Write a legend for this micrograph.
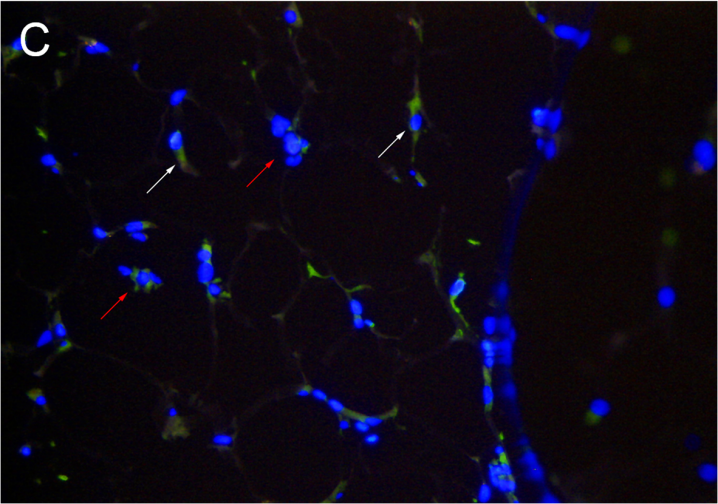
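This is fat tissue, with large, empty adipocytes outlined by thin green rims and blue nuclei scattered along their borders. Small cells with green cytoplasm around their blue nuclei lie wedged between the adipocytes, some grouped in small clusters. Toward the right, a band of elongated blue nuclei runs along a curved edge.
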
